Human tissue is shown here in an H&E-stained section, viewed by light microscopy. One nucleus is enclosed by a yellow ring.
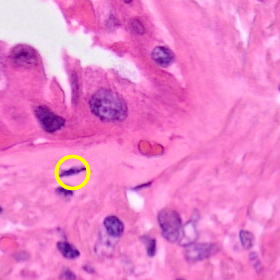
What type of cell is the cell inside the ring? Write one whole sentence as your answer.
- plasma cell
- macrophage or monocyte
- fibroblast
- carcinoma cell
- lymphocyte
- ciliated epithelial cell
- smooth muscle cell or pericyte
As for its identity, the cell inside the ring is a fibroblast.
